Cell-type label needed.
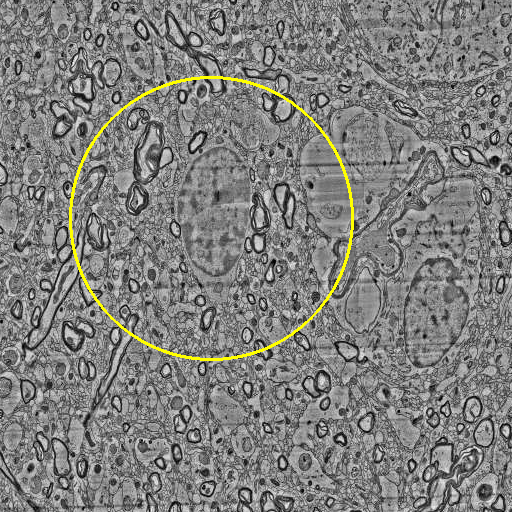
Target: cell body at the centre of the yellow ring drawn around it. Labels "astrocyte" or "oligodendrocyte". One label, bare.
oligodendrocyte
